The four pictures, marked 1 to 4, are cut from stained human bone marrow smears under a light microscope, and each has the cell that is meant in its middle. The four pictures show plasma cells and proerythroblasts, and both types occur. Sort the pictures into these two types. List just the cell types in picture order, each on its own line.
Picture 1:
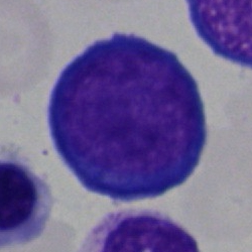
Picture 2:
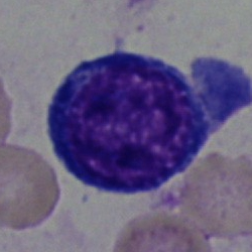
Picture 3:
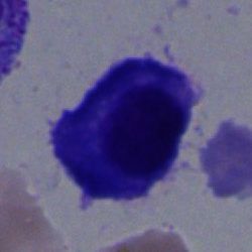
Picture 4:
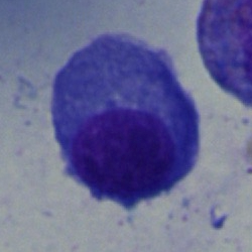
proerythroblast
proerythroblast
plasma cell
plasma cell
